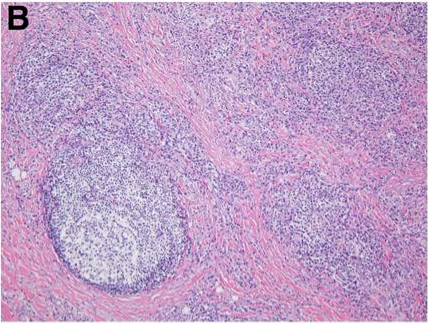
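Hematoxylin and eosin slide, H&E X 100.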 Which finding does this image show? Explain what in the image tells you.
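Broad pink bands of collagen separate the cellular nodules. The fibrous bands are wavy and fairly poor in cells.
Hence: fibrosis.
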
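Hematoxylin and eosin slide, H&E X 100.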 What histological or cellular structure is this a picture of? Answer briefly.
Lymphoid follicle formation.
